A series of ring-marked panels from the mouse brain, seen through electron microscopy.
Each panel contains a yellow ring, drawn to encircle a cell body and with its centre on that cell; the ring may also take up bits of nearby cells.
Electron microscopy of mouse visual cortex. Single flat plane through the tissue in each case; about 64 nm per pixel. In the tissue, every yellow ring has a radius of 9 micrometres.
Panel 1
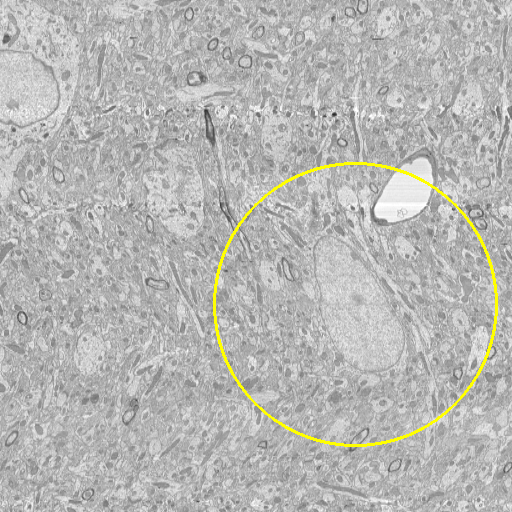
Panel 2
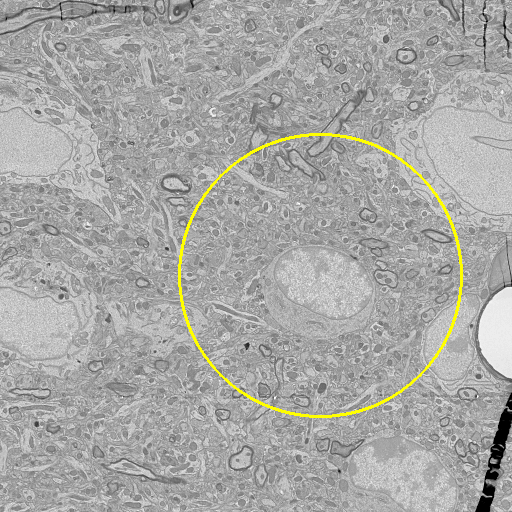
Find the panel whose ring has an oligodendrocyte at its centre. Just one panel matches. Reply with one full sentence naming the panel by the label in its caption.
The sought cell lies at the centre of the ring shown in Panel 2.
